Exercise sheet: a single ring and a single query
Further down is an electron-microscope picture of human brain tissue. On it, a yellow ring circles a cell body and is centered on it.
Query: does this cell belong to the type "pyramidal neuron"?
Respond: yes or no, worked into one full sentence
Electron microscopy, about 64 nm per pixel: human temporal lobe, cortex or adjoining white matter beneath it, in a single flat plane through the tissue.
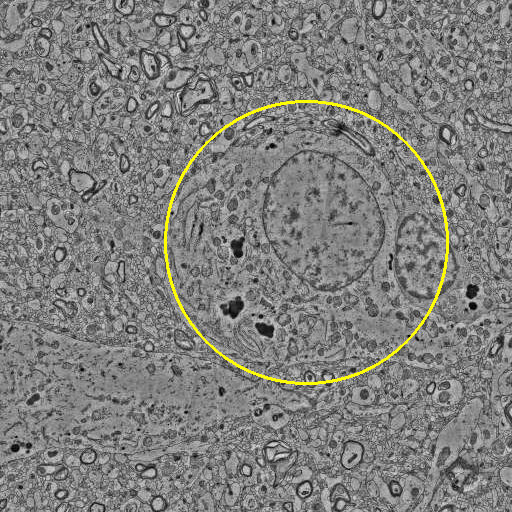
No, this ringed cell, found at the center of the ring in the picture, is of a different type.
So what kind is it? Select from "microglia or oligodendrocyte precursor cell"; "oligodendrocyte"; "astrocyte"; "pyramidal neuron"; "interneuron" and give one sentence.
What the ring is centred on is an interneuron.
